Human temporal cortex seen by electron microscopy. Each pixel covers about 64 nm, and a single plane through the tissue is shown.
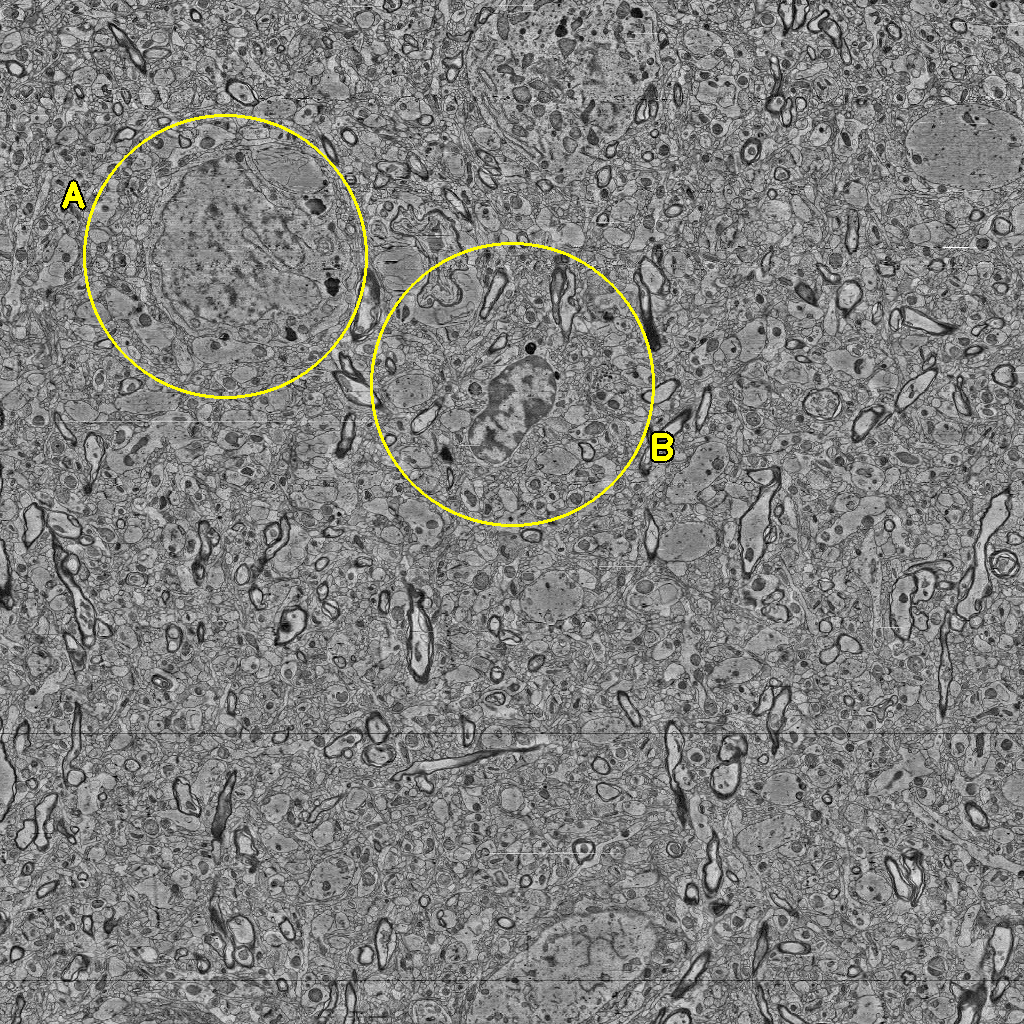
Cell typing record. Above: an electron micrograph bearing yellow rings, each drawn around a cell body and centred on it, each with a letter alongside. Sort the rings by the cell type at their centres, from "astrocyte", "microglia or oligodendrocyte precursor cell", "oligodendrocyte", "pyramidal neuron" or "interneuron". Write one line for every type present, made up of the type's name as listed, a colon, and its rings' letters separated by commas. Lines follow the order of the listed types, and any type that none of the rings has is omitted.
microglia or oligodendrocyte precursor cell: B
interneuron: A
